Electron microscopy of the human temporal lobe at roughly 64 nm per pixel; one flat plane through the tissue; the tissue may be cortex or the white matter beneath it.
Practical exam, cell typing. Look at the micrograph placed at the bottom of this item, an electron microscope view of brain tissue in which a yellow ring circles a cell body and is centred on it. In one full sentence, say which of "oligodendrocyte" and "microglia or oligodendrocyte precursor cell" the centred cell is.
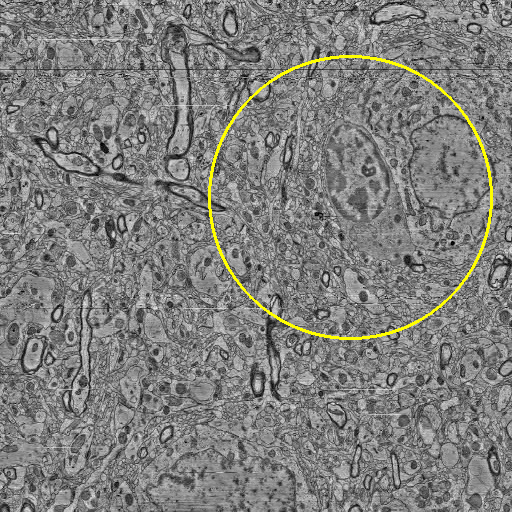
Given the options, an oligodendrocyte fits the cell whose body the yellow ring is centred on.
